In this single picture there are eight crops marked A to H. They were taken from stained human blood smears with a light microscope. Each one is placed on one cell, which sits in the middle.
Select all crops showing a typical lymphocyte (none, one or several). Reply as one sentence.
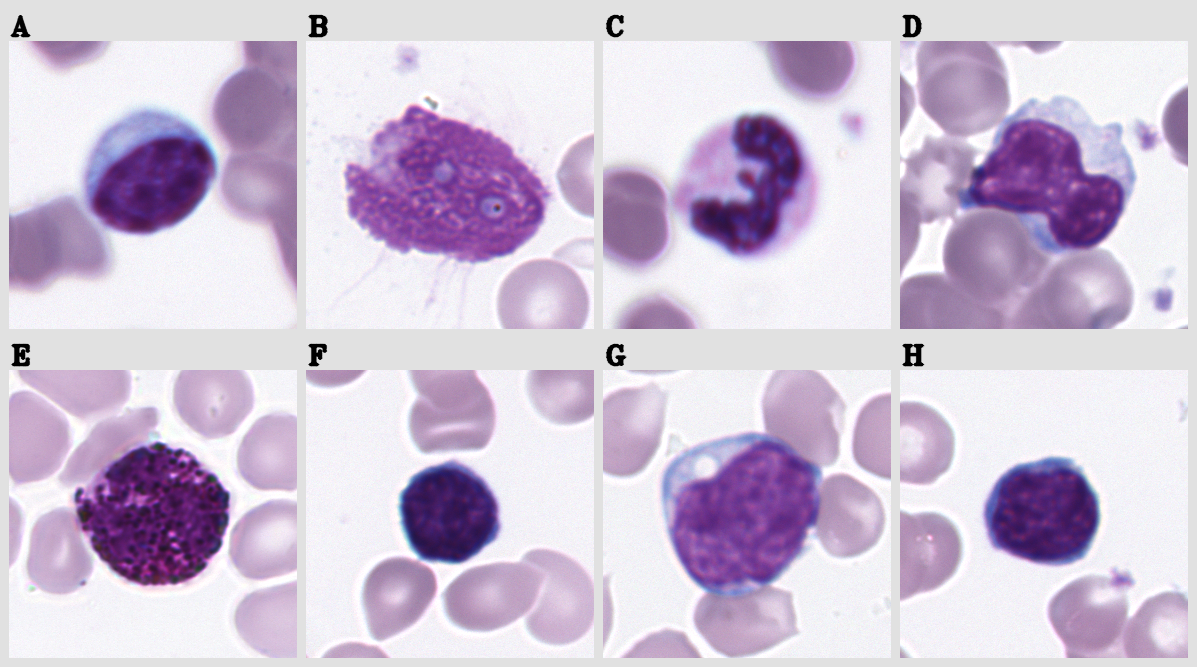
For crops A, D, F and H, the central cells are typical lymphocytes.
